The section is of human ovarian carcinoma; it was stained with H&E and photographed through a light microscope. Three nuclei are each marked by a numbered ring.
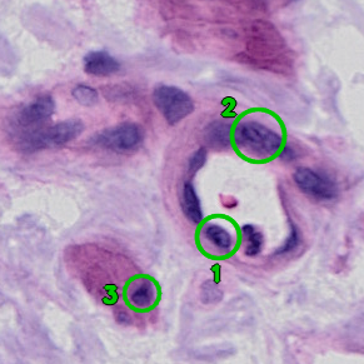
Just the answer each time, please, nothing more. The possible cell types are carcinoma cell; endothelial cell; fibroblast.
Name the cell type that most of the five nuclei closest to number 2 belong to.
endothelial cell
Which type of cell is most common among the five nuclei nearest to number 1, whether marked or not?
endothelial cell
